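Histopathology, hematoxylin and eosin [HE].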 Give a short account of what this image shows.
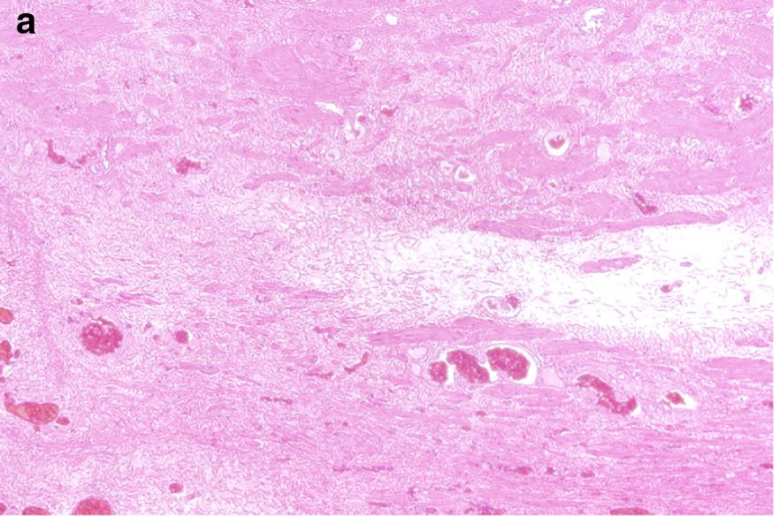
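At low power, pale pink fibrous stroma is seen, with bundles of denser eosinophilic tissue running across the field and a looser, paler zone in the middle. Scattered through it are many small and medium vessels whose lumina are packed with deep red erythrocytes. Nuclei are sparse at this magnification and no glands or epithelium are evident. The blood-filled vessels amount to marked congestion in a fibrous tissue.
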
